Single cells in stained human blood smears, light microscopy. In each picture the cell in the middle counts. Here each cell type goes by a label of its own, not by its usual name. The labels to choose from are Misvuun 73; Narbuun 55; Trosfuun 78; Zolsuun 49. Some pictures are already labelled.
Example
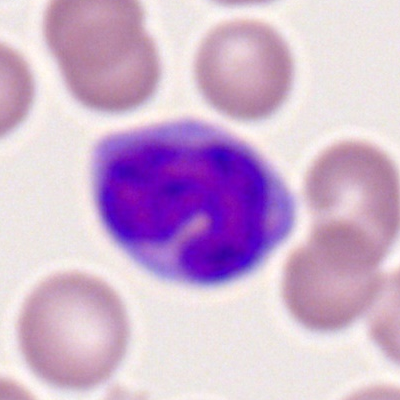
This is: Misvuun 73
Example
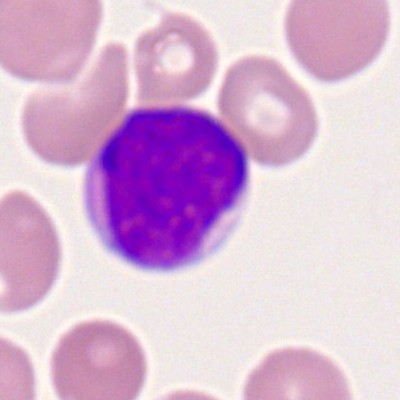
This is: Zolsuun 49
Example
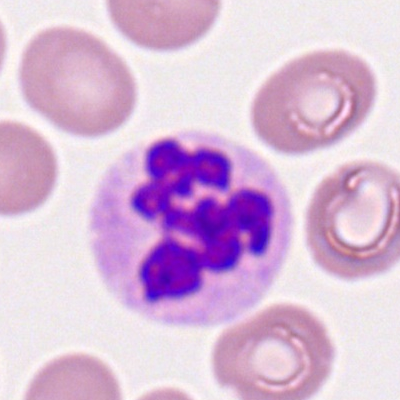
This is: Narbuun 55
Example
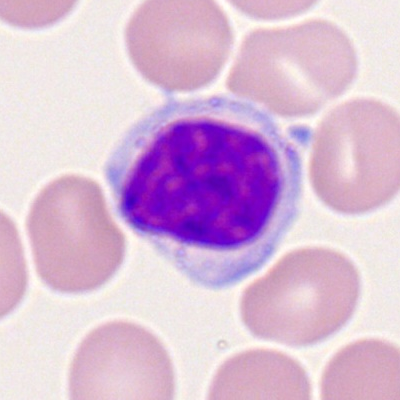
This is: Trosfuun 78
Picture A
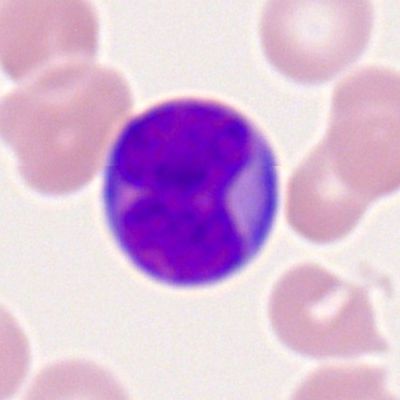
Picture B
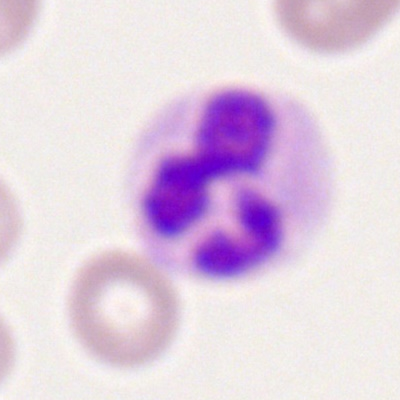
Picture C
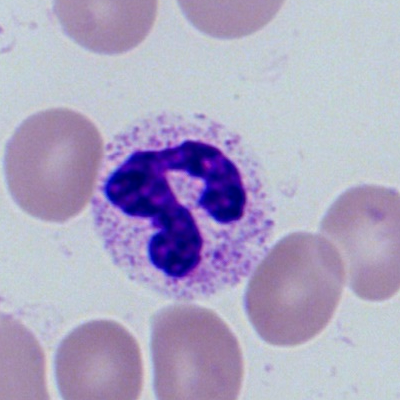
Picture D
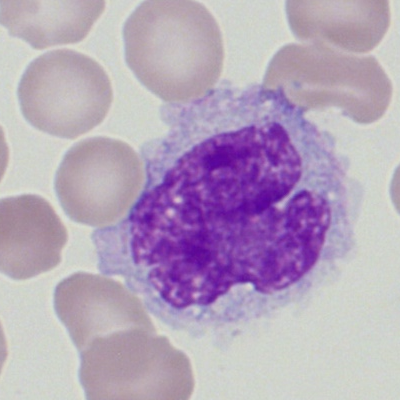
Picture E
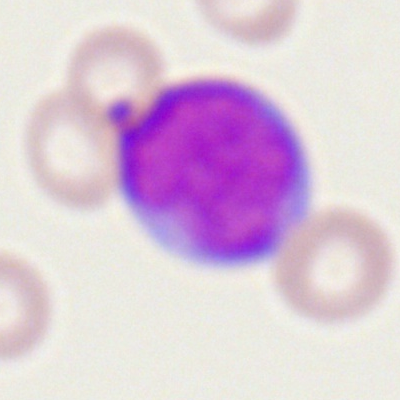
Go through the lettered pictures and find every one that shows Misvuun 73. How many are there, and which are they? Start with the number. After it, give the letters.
1: D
